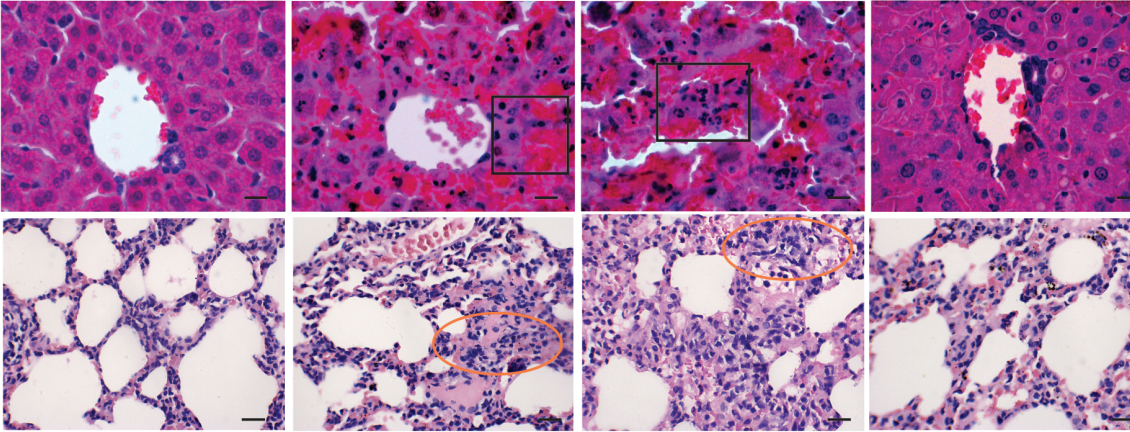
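In the top row, liver cells with round central nuclei surround a central vessel, and in the two middle images the pink cords are disrupted by bright red pools and clusters of small dark nuclei. In the bottom row, the lung shows open air spaces with thin walls in the outer images, while the middle images have thickened septa crowded with small dark nuclei and fewer intact alveoli. This reads as hepatocyte injury with hemorrhage and inflammatory infiltration in the liver, and thickened alveolar walls with inflammatory cells in the lung interstitium.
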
